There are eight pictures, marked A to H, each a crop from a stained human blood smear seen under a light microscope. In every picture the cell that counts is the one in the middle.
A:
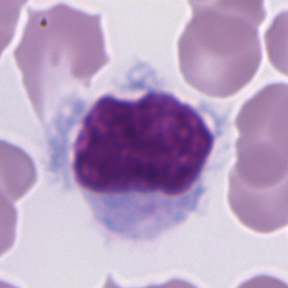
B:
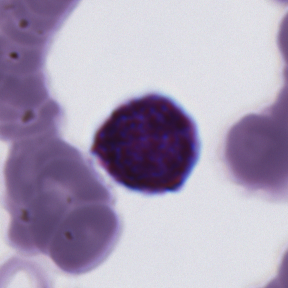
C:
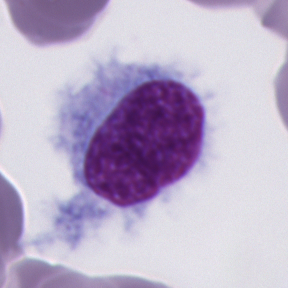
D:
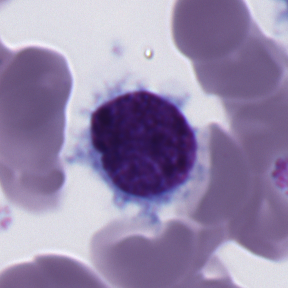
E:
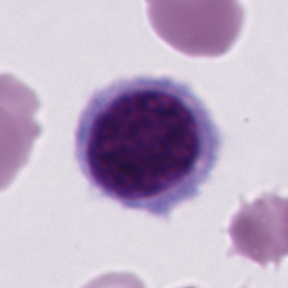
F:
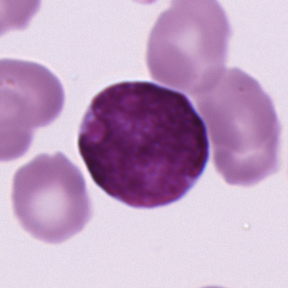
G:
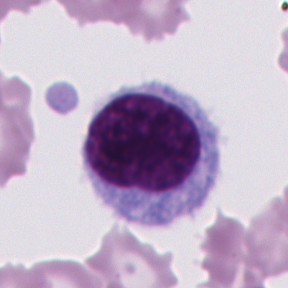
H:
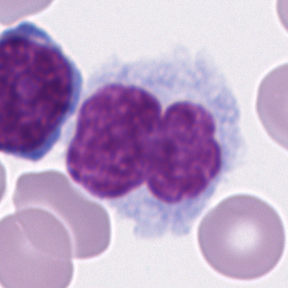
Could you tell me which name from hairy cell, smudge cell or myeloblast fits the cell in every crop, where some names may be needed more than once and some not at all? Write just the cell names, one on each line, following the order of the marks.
hairy cell
myeloblast
hairy cell
hairy cell
hairy cell
myeloblast
hairy cell
hairy cell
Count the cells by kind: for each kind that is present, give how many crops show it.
hairy cell: 6
myeloblast: 2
